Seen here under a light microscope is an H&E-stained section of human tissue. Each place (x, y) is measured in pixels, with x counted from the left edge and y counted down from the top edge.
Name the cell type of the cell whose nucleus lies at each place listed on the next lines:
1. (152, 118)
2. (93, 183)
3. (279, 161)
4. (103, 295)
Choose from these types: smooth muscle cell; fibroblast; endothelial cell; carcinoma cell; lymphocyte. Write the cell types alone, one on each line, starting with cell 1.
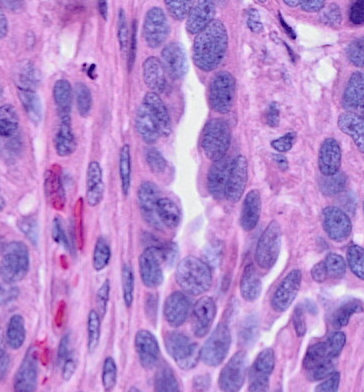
carcinoma cell
fibroblast
fibroblast
fibroblast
